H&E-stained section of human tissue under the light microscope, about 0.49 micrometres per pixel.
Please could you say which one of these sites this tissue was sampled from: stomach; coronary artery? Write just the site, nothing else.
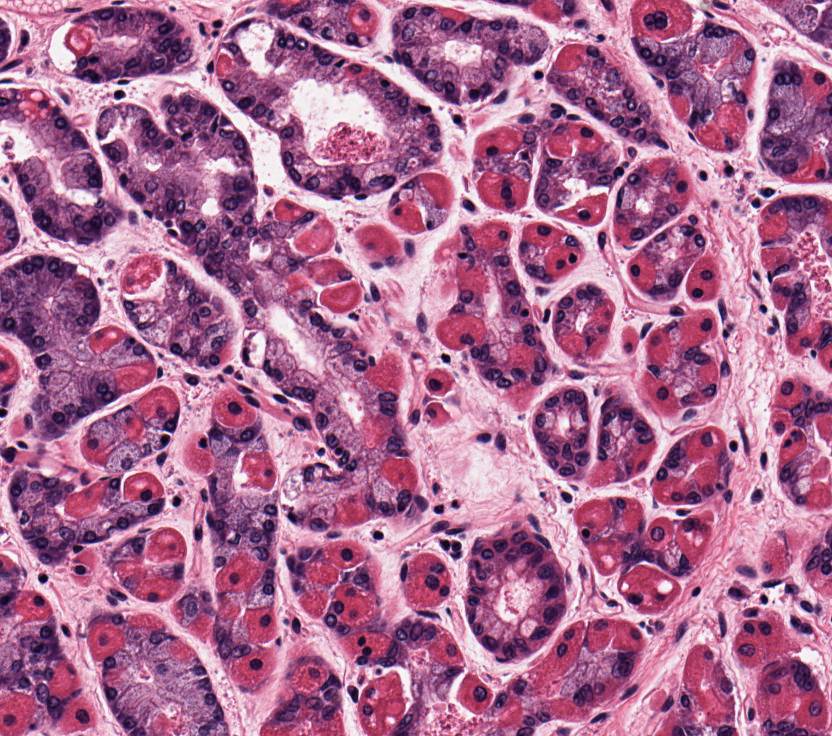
stomach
